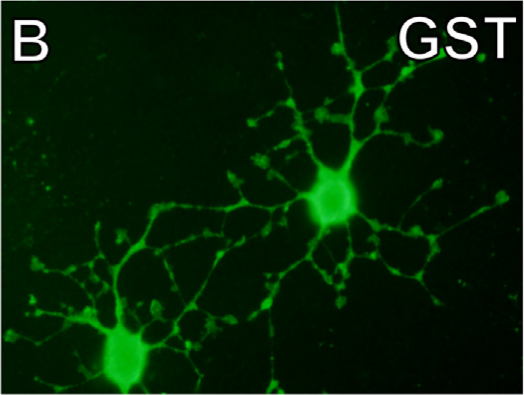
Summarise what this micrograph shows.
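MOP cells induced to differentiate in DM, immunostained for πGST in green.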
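Two cells with many branching processes are lit up in green fluorescence against a dark background. Each cell body is bright and somewhat elongated, filling the cytoplasm evenly. From the cell bodies several processes extend and branch repeatedly into a network of finer branches. Along the branches and at their tips lie small bulbous swellings. The processes of the two cells reach toward each other in the middle of the field.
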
